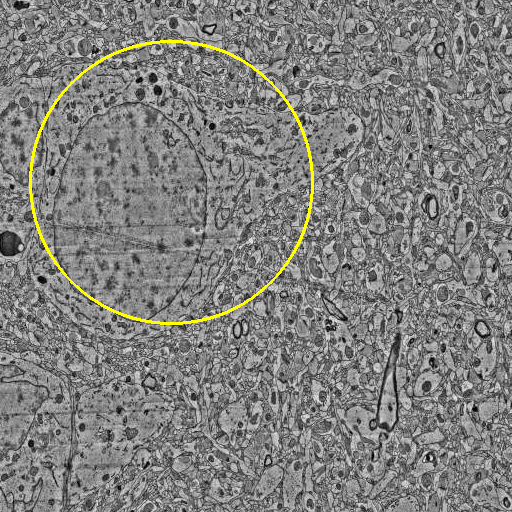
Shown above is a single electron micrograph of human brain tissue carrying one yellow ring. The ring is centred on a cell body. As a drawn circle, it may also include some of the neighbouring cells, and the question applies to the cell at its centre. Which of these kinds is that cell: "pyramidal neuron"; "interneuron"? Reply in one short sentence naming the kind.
The cell marked by the ring is a pyramidal neuron.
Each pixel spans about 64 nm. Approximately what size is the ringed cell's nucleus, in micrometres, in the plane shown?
Approximately 14 x 10 micrometres in this plane.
